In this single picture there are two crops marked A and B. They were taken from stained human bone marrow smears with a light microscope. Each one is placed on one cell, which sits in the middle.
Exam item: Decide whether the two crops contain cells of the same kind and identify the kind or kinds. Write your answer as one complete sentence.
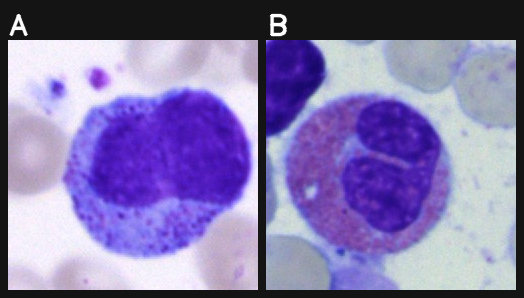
No, crop B holds an eosinophil, while crop A holds a promyelocyte.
